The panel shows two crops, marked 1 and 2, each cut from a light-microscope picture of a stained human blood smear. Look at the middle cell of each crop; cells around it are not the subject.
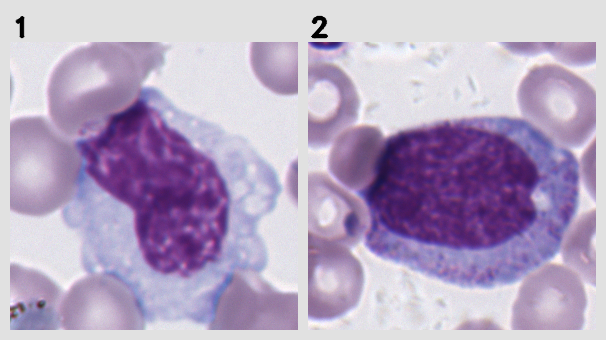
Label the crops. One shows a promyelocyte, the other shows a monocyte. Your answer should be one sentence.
Crop 1 is a monocyte, with crop 2 being a promyelocyte.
